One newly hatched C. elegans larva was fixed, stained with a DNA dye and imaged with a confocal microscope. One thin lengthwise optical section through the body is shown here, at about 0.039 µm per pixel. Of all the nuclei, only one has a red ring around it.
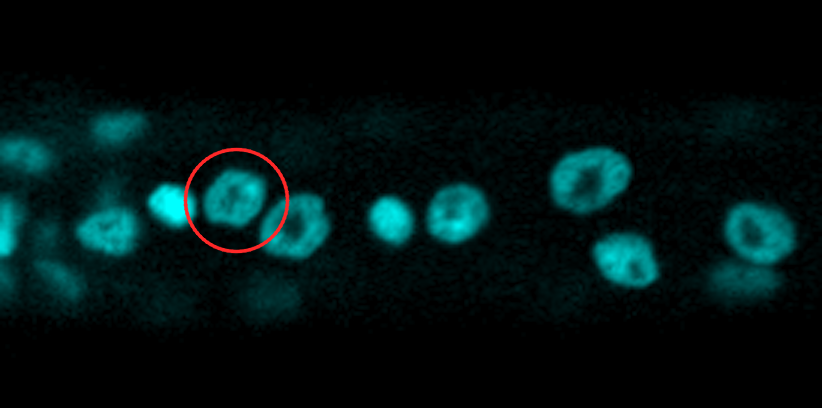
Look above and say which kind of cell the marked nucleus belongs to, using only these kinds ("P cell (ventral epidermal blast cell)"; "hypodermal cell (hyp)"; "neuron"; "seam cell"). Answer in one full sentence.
This nucleus is from a hypodermal cell (hyp).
